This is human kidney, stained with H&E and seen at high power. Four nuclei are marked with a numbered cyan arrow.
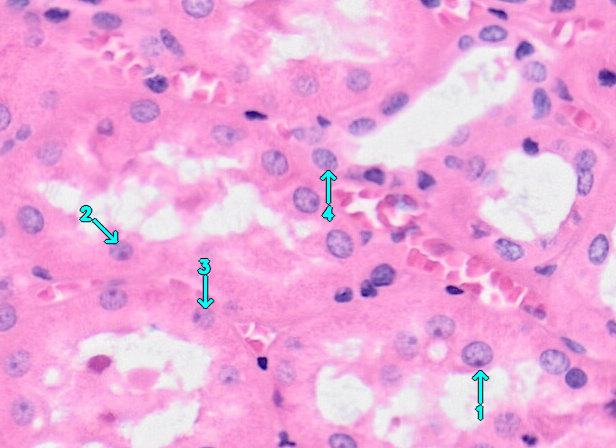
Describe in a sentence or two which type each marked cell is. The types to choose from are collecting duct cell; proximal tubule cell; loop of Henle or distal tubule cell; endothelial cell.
Cell 1 is a proximal tubule cell, cell 2 is a proximal tubule cell, cell 3 is a proximal tubule cell and cell 4 is a collecting duct cell.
